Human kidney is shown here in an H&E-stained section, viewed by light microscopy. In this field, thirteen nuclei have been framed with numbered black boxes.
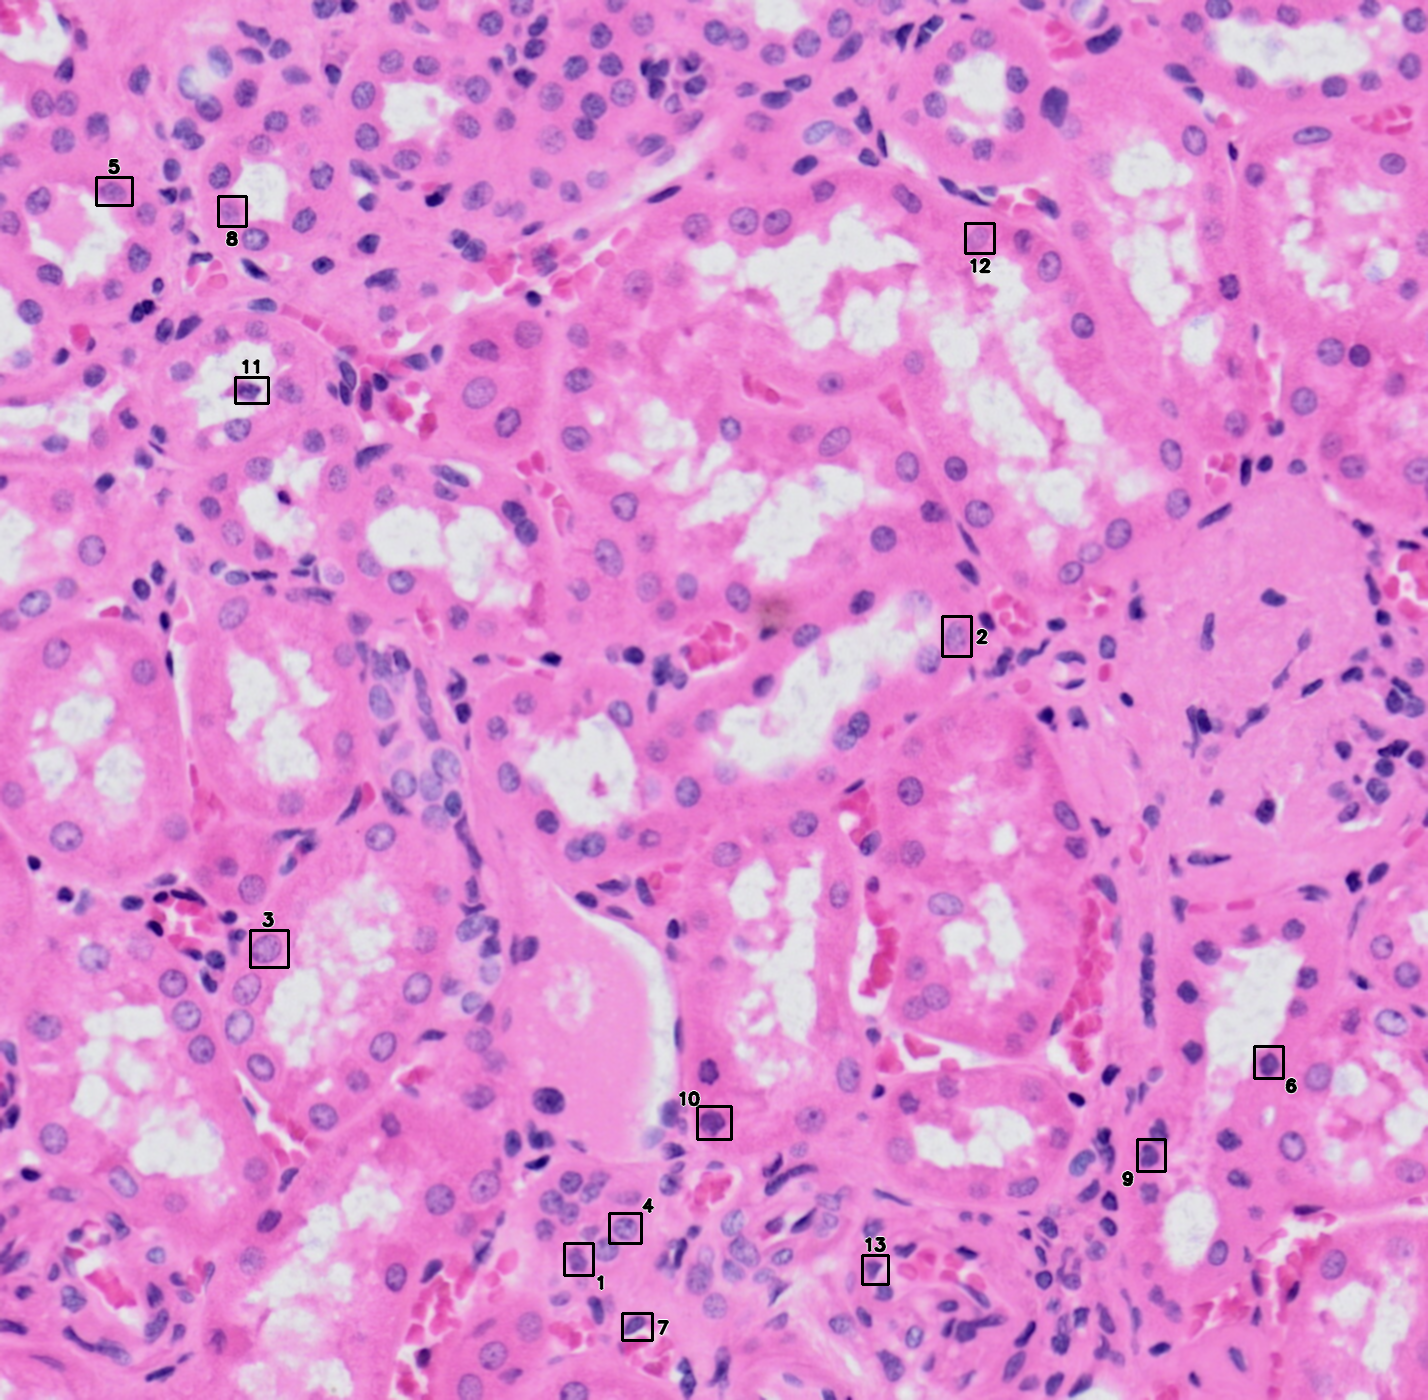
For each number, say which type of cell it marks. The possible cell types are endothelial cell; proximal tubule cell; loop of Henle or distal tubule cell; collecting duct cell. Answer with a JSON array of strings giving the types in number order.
["collecting duct cell", "loop of Henle or distal tubule cell", "proximal tubule cell", "collecting duct cell", "loop of Henle or distal tubule cell", "loop of Henle or distal tubule cell", "endothelial cell", "loop of Henle or distal tubule cell", "loop of Henle or distal tubule cell", "proximal tubule cell", "loop of Henle or distal tubule cell", "proximal tubule cell", "endothelial cell"]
